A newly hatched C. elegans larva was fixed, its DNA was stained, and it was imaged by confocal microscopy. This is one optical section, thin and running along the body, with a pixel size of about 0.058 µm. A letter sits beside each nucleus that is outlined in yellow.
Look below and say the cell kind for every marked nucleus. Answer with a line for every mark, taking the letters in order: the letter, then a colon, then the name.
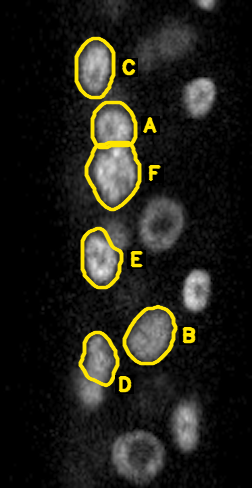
A: somatic gonad precursor
B: Q neuroblast
C: body wall muscle cell
D: P cell (ventral epidermal blast cell)
E: body wall muscle cell
F: germ line precursor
